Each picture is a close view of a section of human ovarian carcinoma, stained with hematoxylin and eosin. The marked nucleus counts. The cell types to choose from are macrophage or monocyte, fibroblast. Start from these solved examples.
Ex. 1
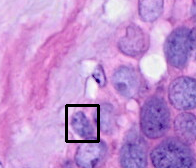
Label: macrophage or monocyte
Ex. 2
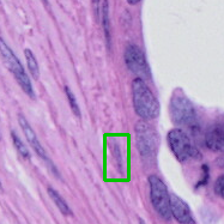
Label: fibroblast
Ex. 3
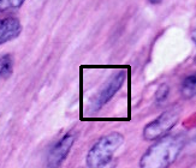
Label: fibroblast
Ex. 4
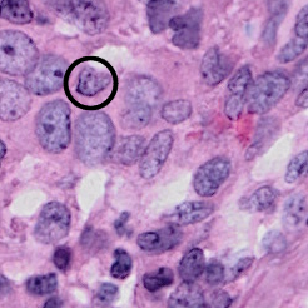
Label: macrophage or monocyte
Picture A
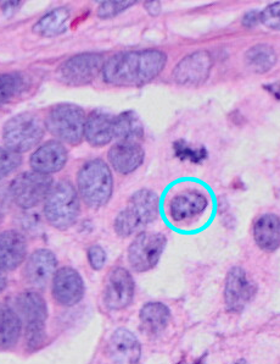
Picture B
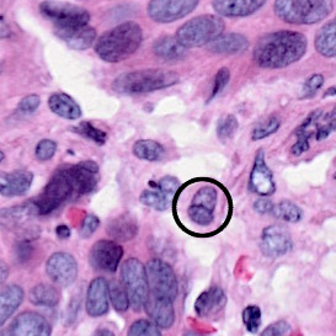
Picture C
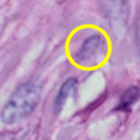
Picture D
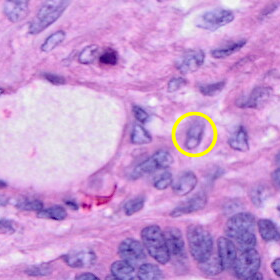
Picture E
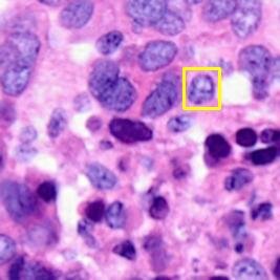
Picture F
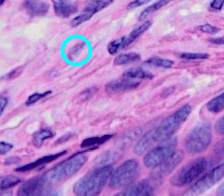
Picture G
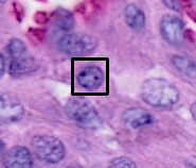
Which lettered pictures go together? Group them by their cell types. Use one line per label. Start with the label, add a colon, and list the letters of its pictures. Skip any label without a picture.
macrophage or monocyte: A, B, E, G
fibroblast: C, D, F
